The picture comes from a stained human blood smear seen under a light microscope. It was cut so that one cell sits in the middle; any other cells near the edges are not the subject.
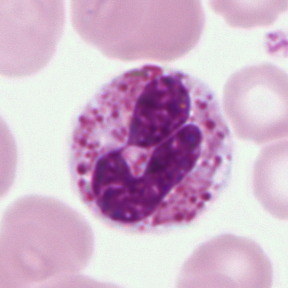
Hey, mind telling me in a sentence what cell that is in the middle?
The central cell shown in this smear crop is an eosinophil.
